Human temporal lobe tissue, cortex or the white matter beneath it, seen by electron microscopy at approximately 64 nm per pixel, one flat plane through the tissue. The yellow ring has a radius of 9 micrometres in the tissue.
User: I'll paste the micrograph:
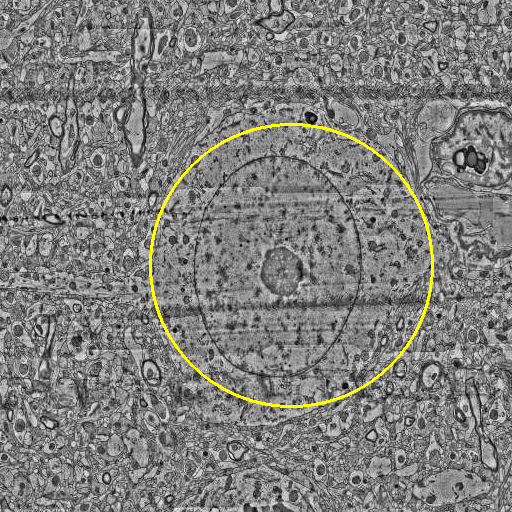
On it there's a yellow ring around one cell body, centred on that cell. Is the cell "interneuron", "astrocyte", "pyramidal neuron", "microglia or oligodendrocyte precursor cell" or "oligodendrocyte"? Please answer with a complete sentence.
The cell ringed in yellow is a pyramidal neuron.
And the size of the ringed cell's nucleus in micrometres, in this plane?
In this plane, about 14 micrometres in length and 11 in width.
